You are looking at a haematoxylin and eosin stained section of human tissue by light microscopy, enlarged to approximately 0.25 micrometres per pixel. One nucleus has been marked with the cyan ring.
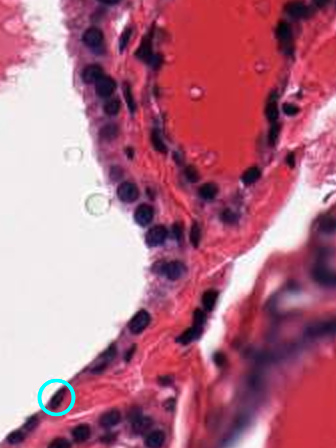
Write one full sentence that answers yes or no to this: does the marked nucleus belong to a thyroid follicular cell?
Yes, the marked nucleus is located in a thyroid follicular cell.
